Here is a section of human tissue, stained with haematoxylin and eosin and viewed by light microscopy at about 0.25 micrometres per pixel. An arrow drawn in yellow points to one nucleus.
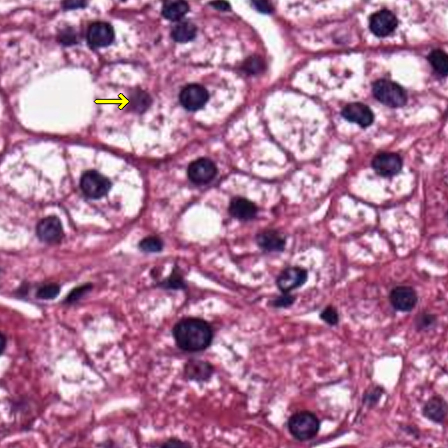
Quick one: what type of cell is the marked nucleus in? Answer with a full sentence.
The marked nucleus, in this picture, belongs to an adrenal cortical cell.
